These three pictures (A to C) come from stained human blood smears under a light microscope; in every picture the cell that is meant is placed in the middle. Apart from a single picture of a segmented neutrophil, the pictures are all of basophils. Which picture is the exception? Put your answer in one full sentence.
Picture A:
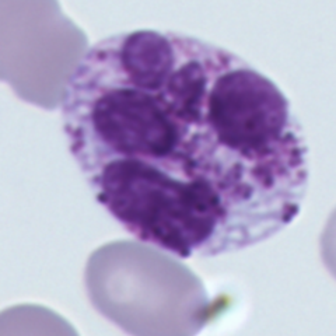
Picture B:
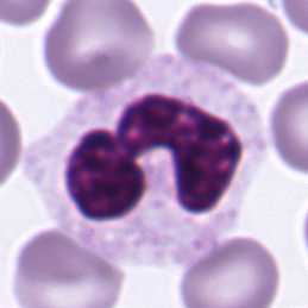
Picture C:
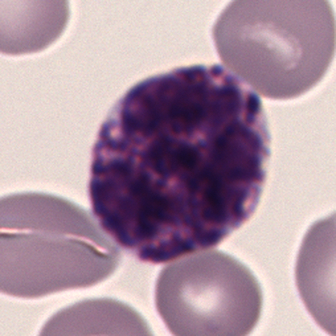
The picture with the segmented neutrophil is B.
